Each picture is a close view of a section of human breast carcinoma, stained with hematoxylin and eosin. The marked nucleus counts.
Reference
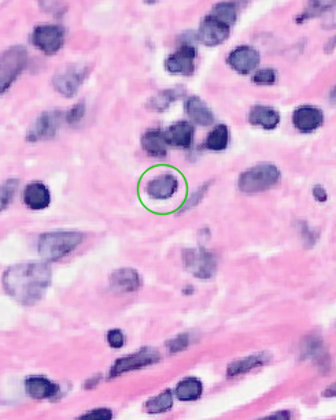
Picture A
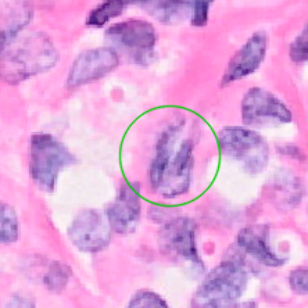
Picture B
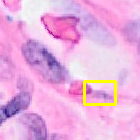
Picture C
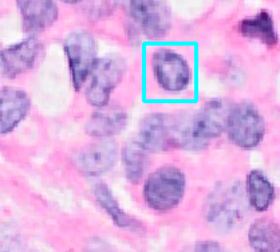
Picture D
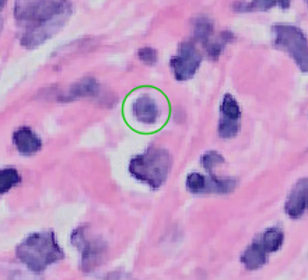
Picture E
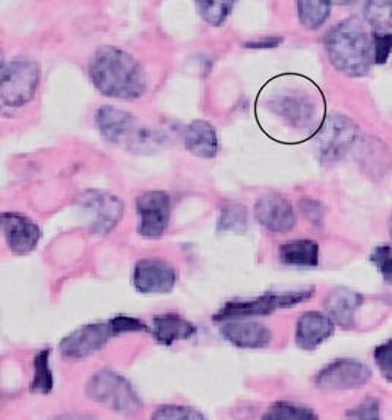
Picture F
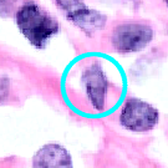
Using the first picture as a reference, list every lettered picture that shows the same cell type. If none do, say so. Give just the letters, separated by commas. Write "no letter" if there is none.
D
